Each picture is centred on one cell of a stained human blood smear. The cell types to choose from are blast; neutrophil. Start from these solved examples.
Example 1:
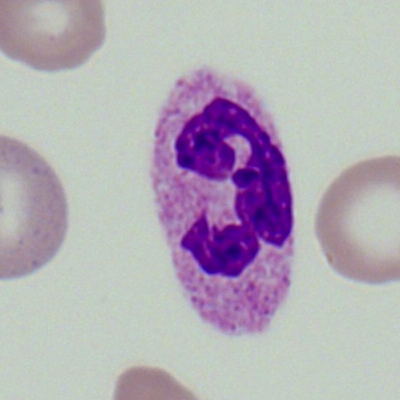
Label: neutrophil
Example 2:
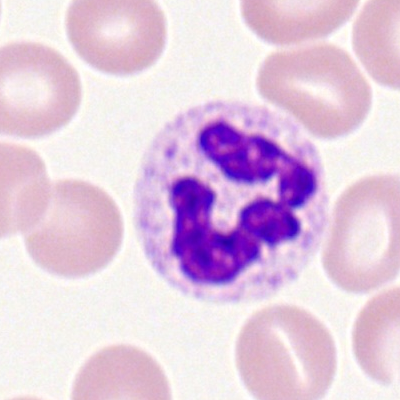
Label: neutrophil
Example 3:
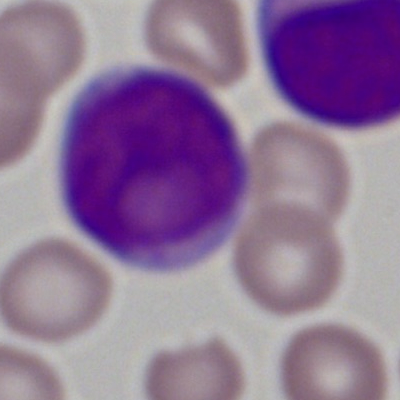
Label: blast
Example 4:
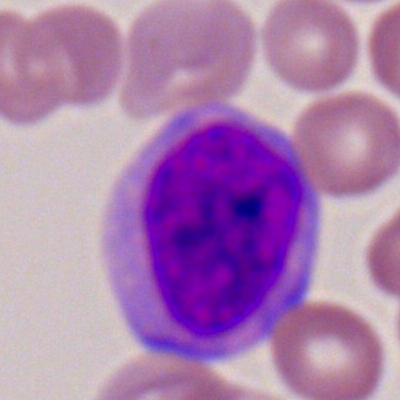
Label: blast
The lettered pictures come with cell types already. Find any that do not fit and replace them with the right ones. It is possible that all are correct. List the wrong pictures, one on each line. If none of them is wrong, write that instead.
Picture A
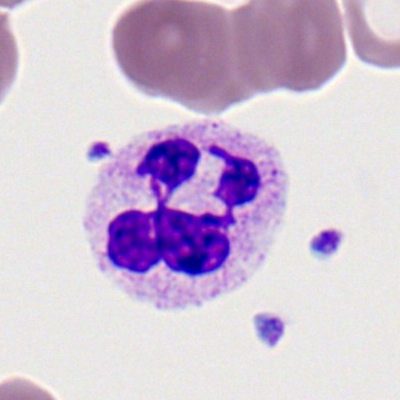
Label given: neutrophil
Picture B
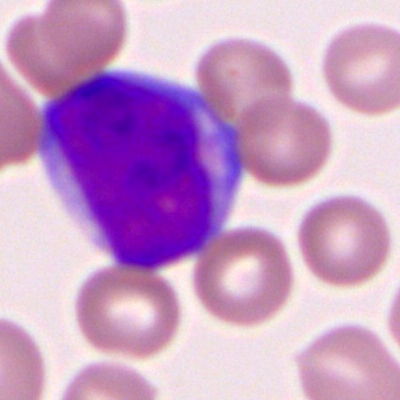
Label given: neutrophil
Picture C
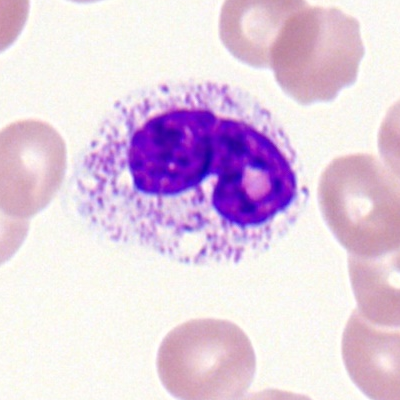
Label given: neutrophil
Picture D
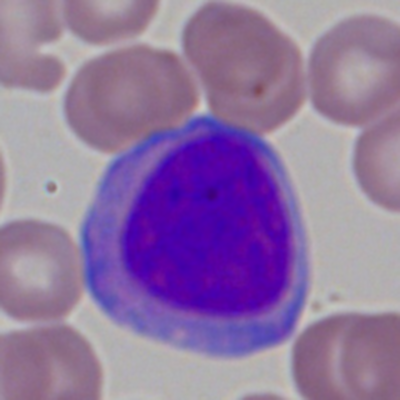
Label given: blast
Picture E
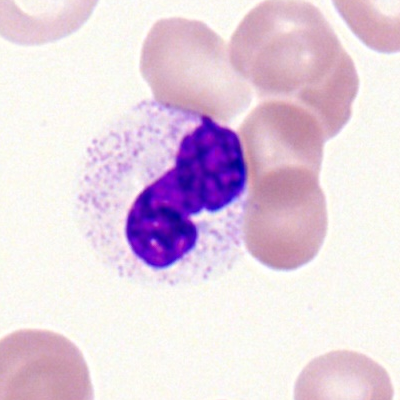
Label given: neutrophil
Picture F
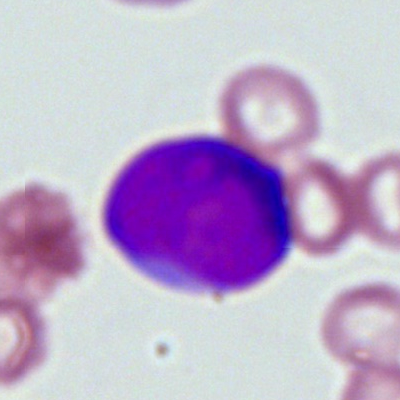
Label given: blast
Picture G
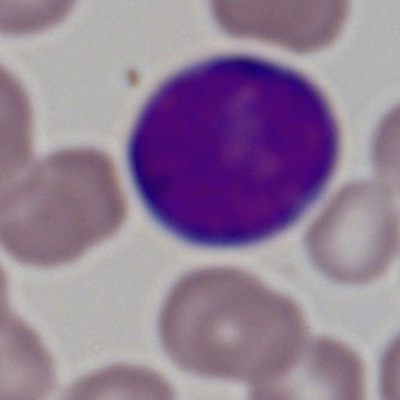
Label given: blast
B should be blast, not neutrophil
